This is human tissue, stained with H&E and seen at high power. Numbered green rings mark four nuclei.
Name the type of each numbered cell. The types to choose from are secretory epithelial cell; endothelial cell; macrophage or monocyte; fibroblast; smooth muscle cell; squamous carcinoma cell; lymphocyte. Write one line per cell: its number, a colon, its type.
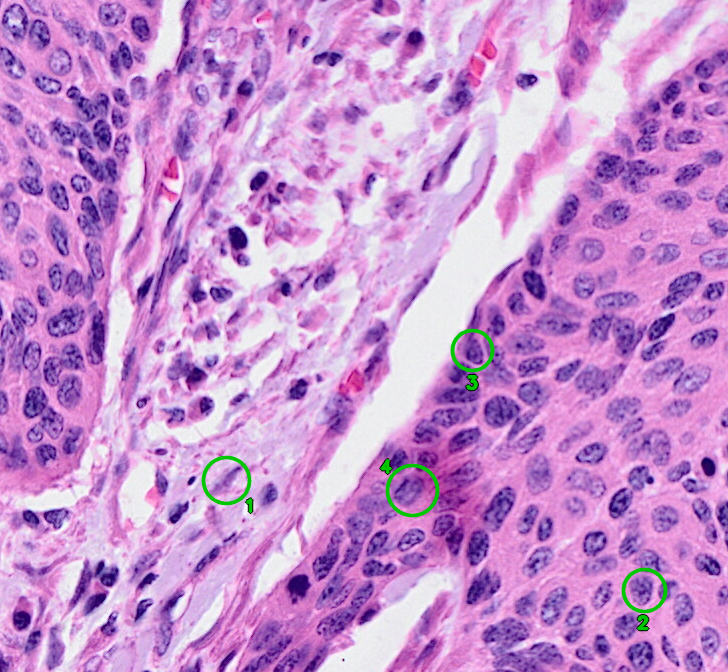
1: fibroblast
2: squamous carcinoma cell
3: squamous carcinoma cell
4: squamous carcinoma cell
